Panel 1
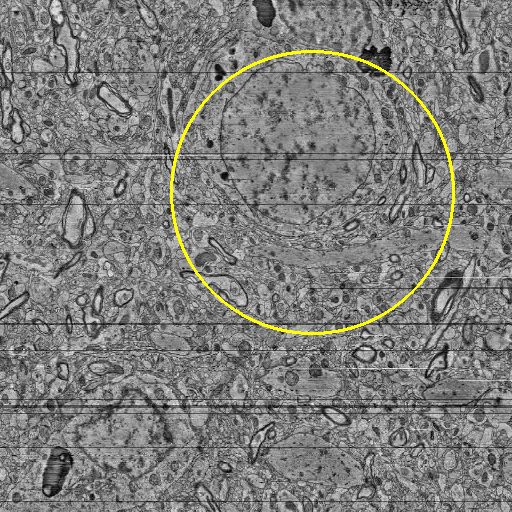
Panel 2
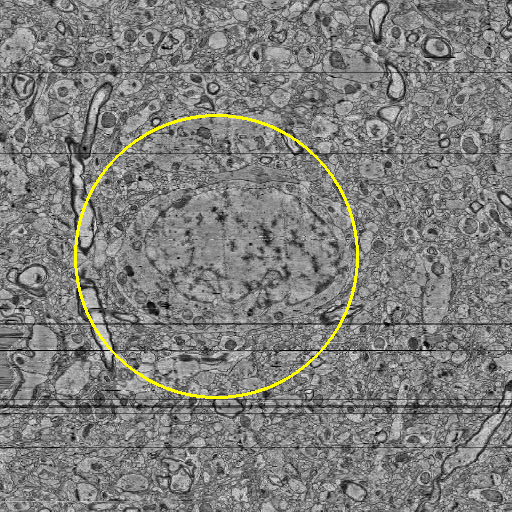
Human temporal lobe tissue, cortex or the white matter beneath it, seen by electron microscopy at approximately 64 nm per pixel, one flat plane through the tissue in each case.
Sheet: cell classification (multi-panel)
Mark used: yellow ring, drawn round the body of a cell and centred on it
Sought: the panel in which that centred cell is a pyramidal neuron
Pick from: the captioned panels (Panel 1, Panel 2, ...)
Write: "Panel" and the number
Panel 1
